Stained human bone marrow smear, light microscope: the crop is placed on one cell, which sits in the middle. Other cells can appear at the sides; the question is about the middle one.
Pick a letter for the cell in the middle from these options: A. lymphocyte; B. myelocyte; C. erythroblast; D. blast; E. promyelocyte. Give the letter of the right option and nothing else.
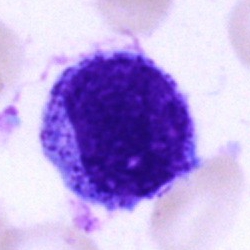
E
